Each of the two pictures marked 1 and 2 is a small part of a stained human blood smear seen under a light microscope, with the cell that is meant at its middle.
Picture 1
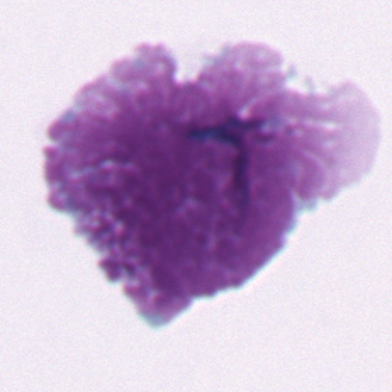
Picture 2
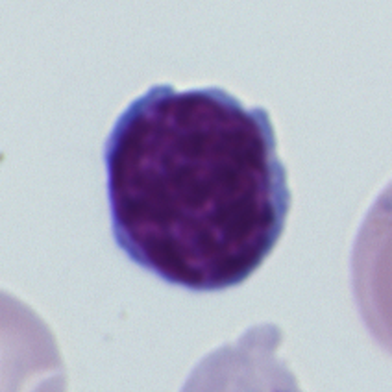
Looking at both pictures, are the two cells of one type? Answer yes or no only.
no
